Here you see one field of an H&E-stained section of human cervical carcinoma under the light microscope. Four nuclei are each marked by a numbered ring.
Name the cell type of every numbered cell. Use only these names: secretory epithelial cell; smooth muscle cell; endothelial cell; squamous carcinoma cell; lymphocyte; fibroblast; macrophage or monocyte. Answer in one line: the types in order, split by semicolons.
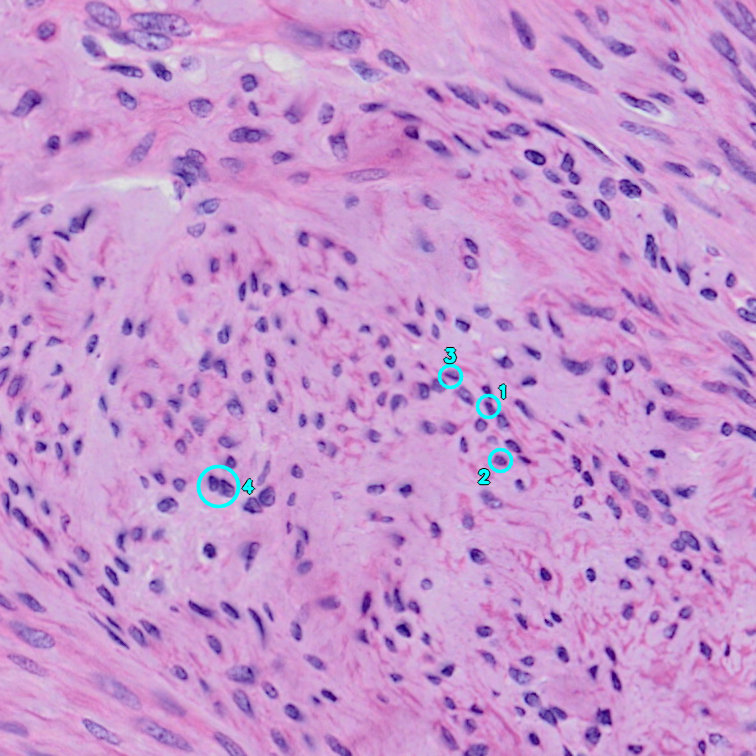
smooth muscle cell; smooth muscle cell; smooth muscle cell; fibroblast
